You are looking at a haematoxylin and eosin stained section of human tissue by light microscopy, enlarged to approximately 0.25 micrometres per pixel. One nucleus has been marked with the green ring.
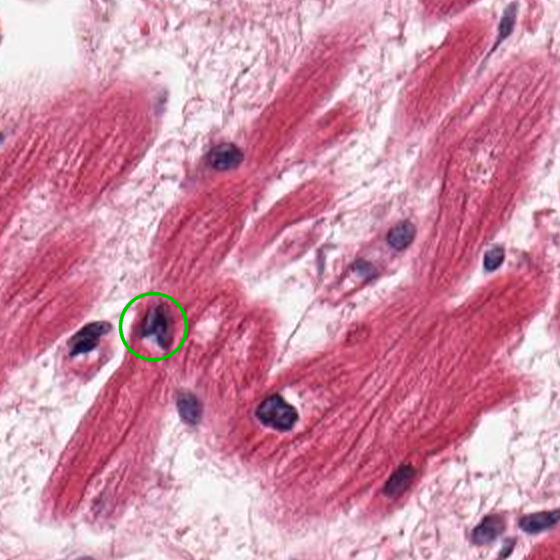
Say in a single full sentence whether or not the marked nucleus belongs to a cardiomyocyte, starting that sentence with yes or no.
Yes, it is within a cardiomyocyte that the marked nucleus lies.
